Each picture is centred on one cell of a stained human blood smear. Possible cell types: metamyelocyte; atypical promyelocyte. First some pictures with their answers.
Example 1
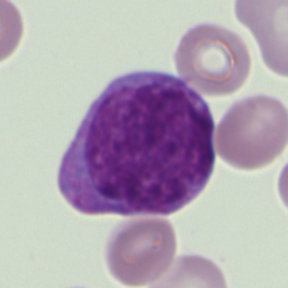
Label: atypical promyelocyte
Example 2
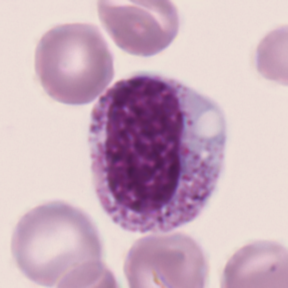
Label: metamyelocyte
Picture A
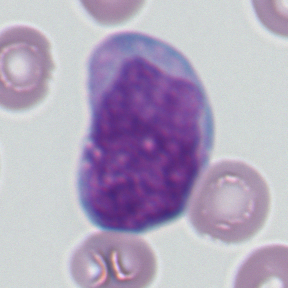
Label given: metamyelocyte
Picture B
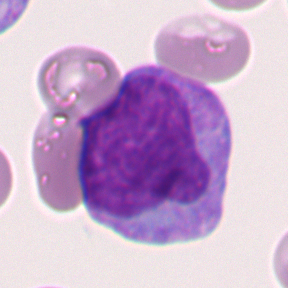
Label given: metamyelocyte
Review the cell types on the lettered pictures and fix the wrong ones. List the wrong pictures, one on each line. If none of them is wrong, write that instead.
A: not metamyelocyte but atypical promyelocyte
B: not metamyelocyte but atypical promyelocyte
